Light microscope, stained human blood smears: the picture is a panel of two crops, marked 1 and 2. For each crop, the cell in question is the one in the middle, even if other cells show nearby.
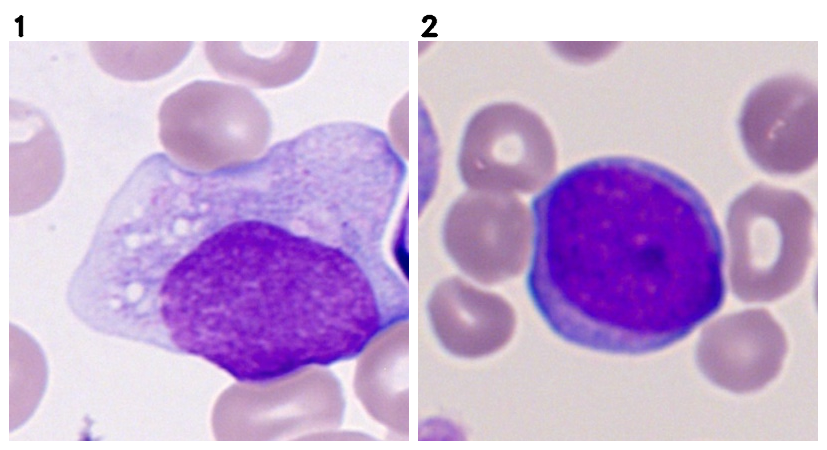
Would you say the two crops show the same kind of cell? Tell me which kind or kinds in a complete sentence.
No, a myeloblast is the cell in crop 2, and crop 1 contains a monocyte.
